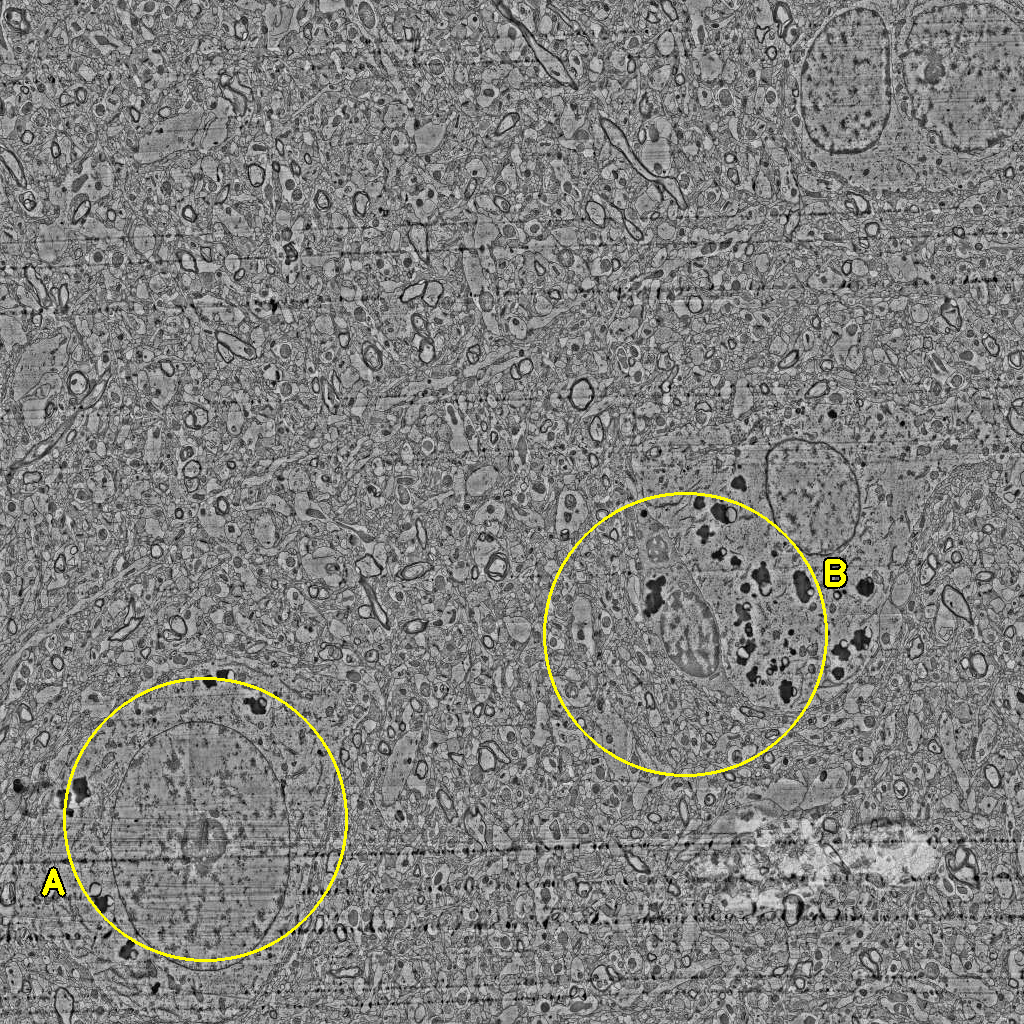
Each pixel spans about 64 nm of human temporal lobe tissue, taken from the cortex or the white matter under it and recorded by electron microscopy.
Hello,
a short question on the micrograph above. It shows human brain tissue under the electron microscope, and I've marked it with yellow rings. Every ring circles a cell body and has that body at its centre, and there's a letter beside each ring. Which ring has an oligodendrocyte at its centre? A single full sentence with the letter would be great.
The cell you asked about sits at the centre of ring B.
